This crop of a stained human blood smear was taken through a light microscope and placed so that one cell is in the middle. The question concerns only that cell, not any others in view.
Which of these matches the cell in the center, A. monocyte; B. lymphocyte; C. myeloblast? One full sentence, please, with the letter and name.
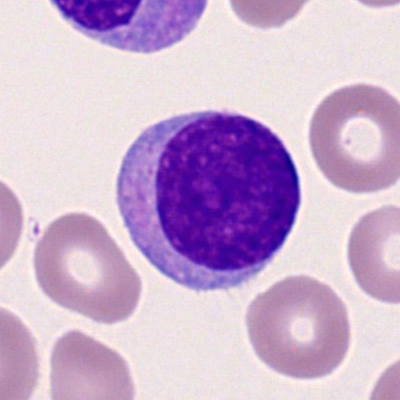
Option C is the right choice, the central cell being a myeloblast.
